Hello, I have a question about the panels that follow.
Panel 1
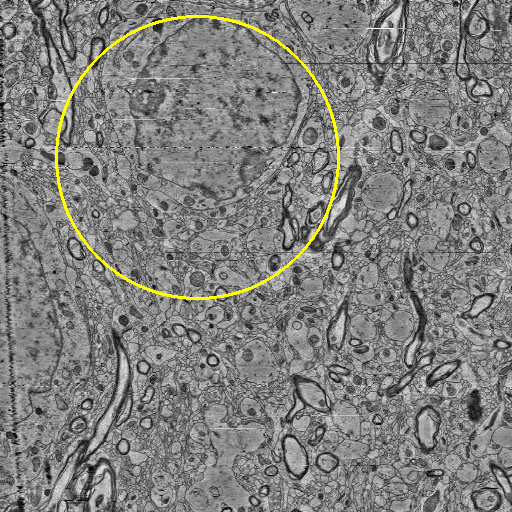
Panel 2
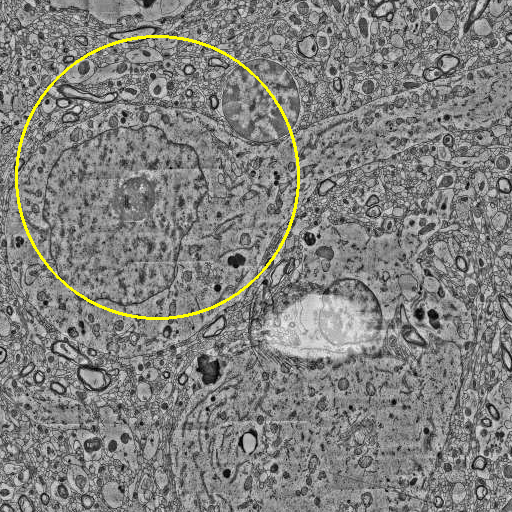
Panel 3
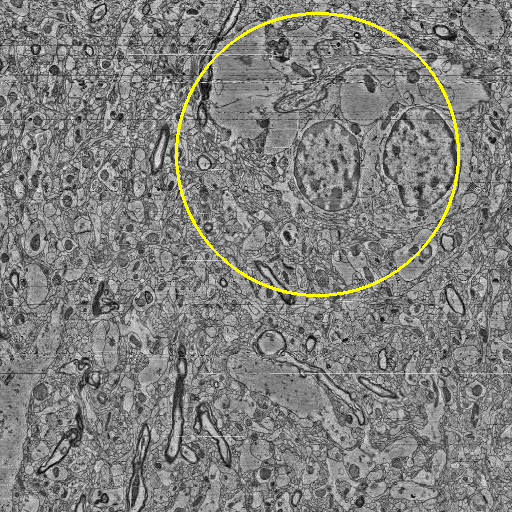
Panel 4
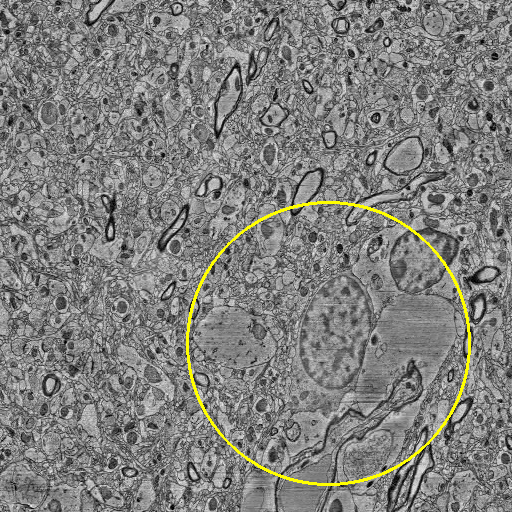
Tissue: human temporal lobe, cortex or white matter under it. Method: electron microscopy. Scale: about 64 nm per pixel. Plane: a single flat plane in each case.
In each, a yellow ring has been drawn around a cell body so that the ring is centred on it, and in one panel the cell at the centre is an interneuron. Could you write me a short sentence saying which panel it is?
It is Panel 1.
